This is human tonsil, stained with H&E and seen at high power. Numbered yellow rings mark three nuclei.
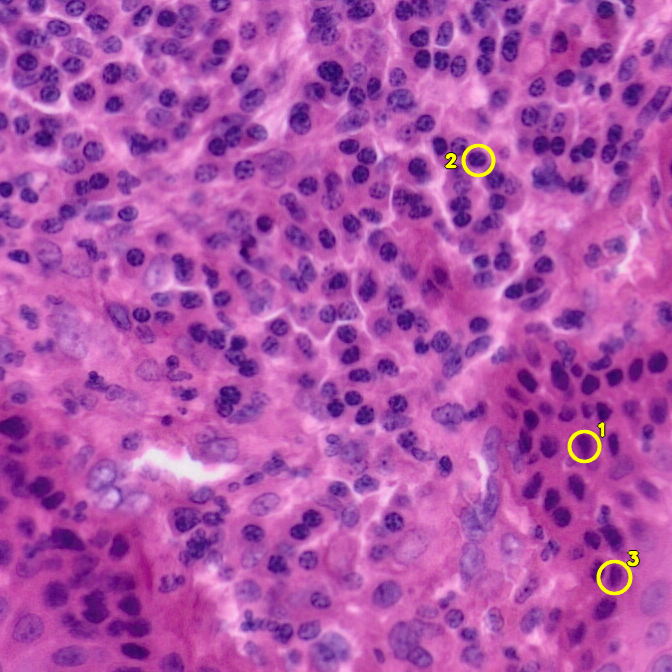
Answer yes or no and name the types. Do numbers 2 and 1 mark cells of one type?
No, cell 2 is a plasma cell and cell 1 is a squamous epithelial cell.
